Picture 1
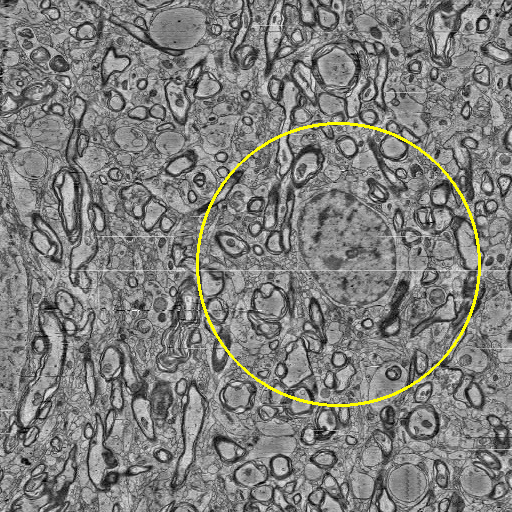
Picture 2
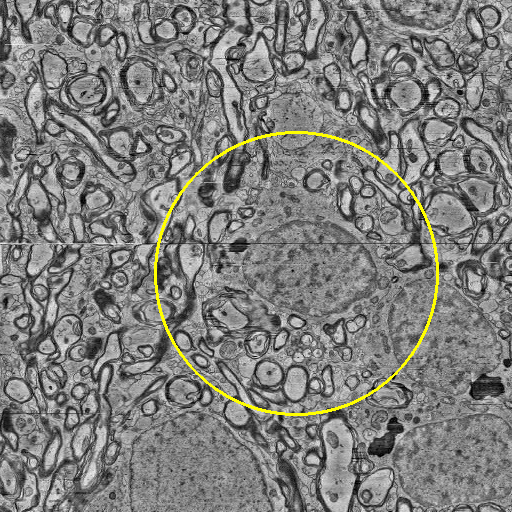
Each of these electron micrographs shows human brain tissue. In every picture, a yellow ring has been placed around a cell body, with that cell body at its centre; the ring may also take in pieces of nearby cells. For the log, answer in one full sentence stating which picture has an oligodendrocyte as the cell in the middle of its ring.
In picture 2, the cell at the centre of the yellow ring is the requested one.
